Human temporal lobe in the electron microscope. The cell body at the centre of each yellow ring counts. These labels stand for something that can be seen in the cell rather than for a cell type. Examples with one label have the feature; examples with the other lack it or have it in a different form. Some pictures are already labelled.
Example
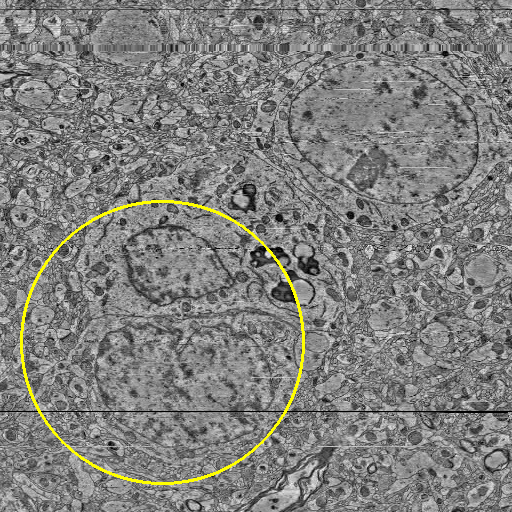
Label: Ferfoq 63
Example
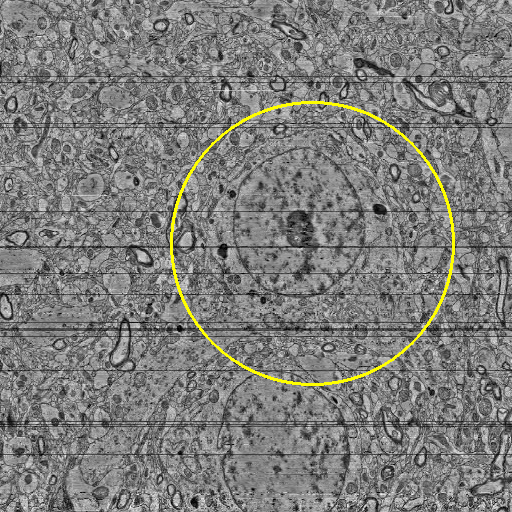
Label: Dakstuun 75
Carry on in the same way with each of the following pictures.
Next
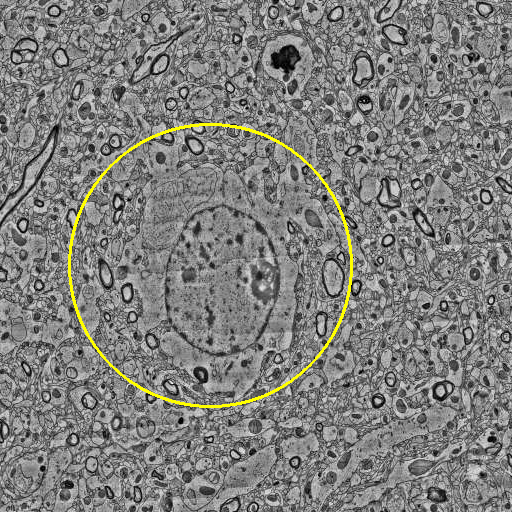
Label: Dakstuun 75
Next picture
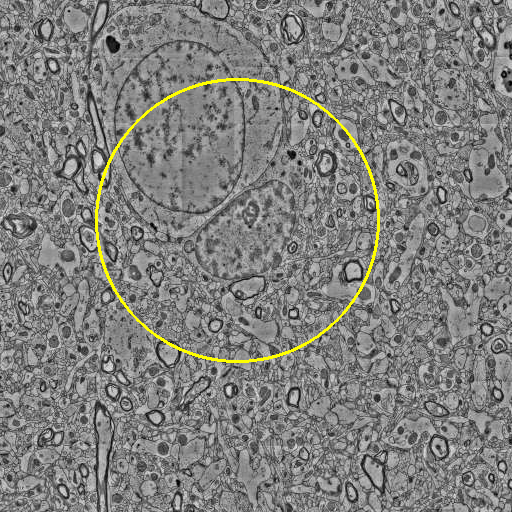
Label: Dakstuun 75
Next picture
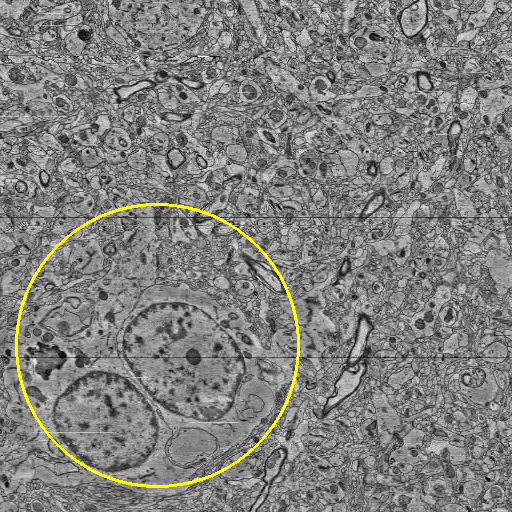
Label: Dakstuun 75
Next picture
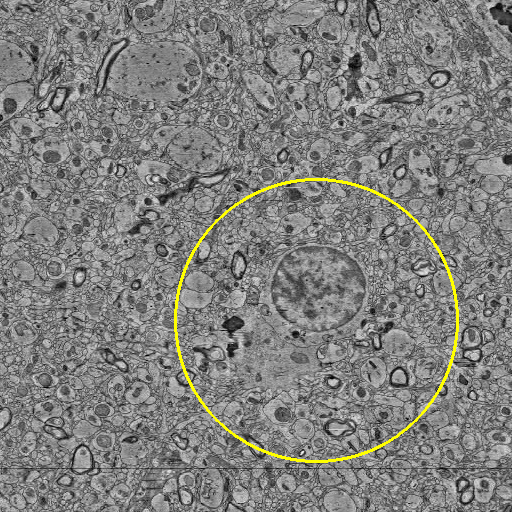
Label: Ferfoq 63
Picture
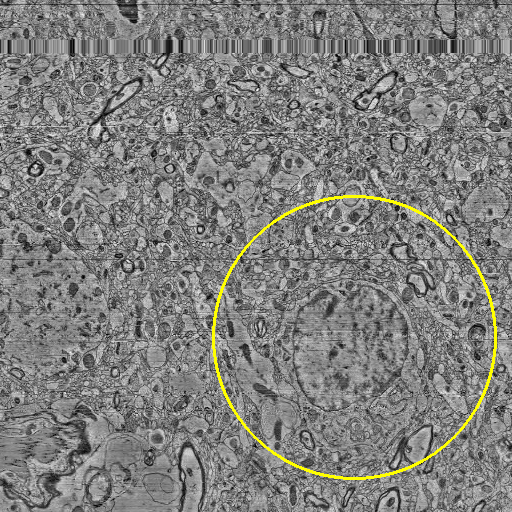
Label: Ferfoq 63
